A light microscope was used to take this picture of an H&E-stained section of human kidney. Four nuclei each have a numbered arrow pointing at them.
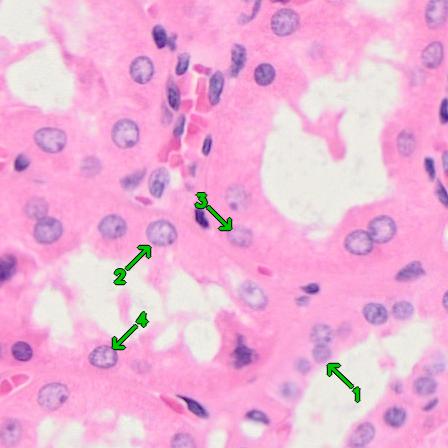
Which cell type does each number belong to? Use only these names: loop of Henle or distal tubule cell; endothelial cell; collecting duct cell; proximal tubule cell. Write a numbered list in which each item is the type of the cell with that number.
1. collecting duct cell
2. proximal tubule cell
3. proximal tubule cell
4. proximal tubule cell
